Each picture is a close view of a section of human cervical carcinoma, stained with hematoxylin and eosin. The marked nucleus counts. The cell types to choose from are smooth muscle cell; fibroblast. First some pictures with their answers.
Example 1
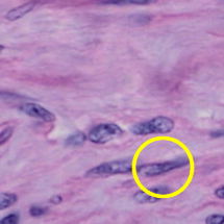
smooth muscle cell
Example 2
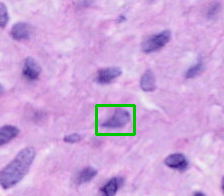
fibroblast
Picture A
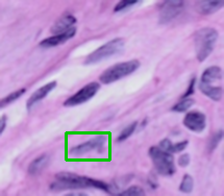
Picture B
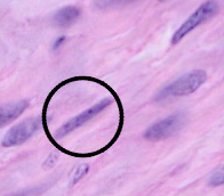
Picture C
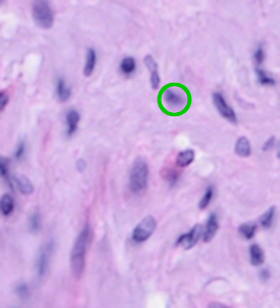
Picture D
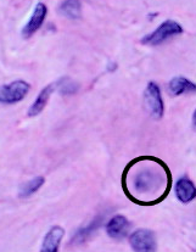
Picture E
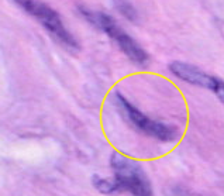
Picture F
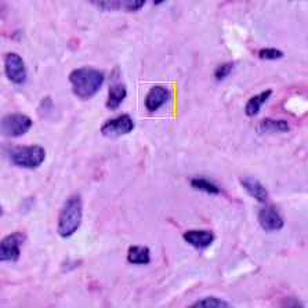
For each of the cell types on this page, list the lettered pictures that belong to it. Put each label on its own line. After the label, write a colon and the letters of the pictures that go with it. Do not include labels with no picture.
fibroblast: A, B, C, D, E, F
